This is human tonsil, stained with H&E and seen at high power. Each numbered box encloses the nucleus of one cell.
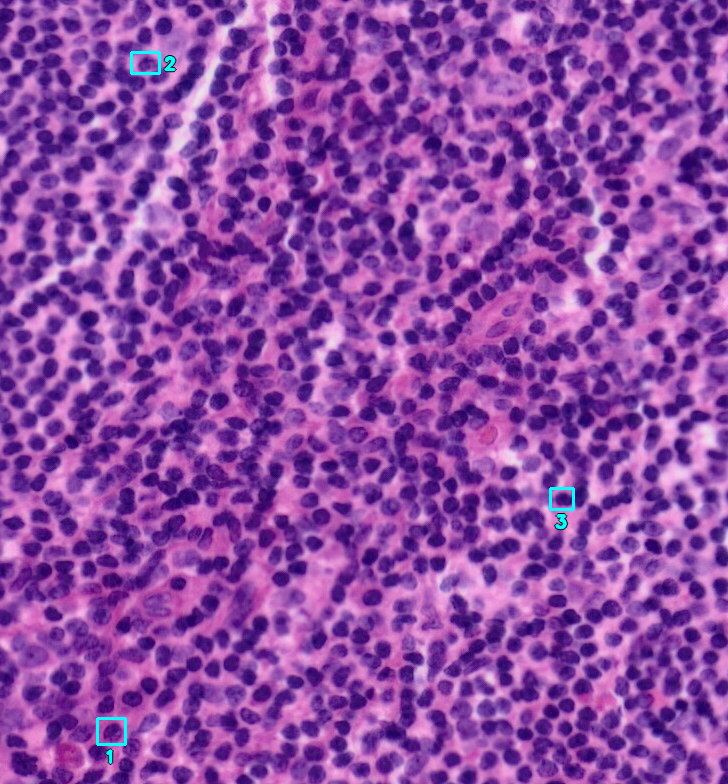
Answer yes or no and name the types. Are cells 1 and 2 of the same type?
No, the cell at number 1 is a plasma cell, and the cell at number 2 is a small lymphocyte.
